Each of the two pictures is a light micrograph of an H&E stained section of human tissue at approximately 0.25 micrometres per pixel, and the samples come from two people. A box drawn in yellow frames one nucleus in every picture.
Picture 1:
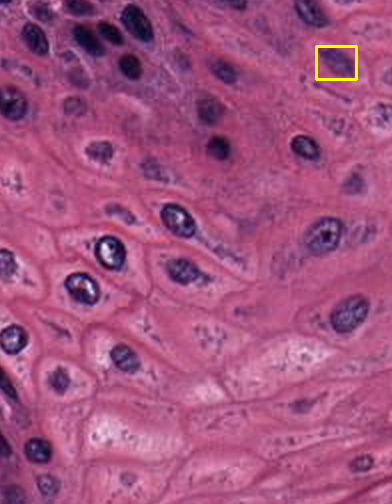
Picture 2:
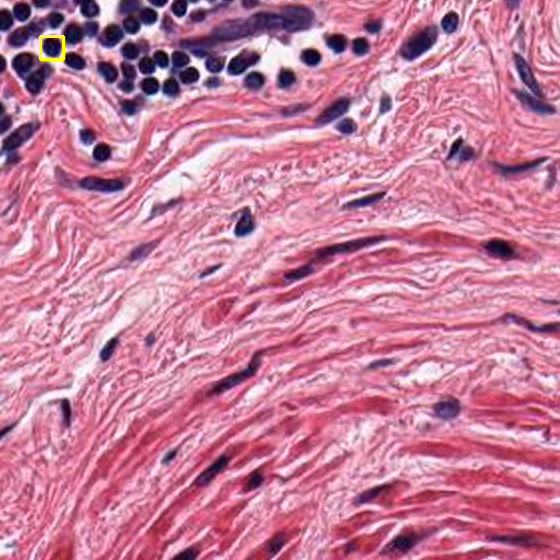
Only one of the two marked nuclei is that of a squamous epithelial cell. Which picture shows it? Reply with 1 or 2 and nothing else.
1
